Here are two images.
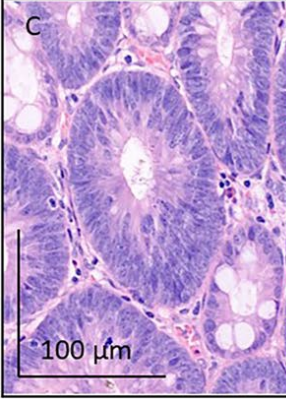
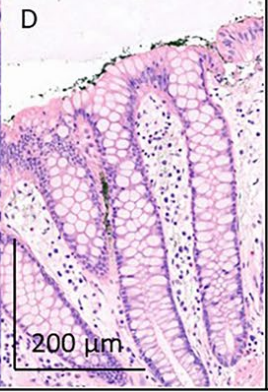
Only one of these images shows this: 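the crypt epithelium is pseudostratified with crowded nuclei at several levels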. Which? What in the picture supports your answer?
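Second image: crypts are lined by a single row of cells with small basal nuclei and many goblet cells. First image: elongated dark nuclei are crowded and stacked through the height of the crypt lining.
Hence: the first image.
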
